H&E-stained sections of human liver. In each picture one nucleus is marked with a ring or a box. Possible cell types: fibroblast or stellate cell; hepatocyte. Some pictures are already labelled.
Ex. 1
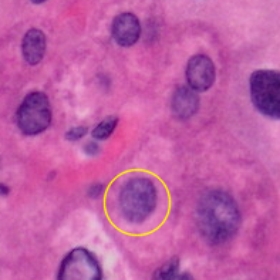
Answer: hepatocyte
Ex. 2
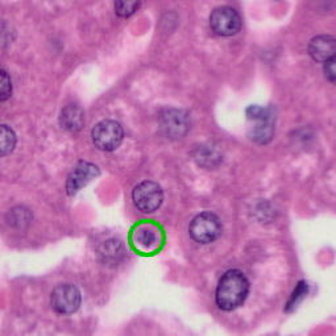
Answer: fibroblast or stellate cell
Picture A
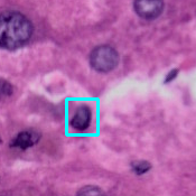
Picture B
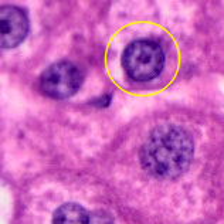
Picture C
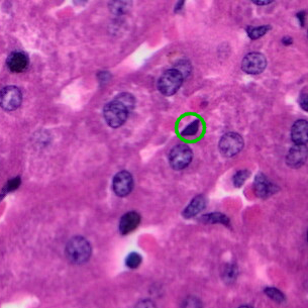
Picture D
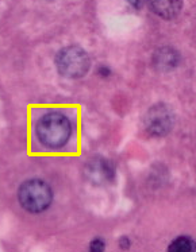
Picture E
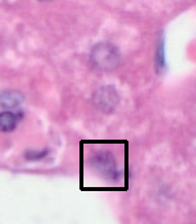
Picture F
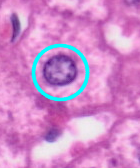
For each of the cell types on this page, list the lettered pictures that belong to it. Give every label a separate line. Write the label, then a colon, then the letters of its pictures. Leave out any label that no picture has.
fibroblast or stellate cell: A, C, E
hepatocyte: B, D, F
